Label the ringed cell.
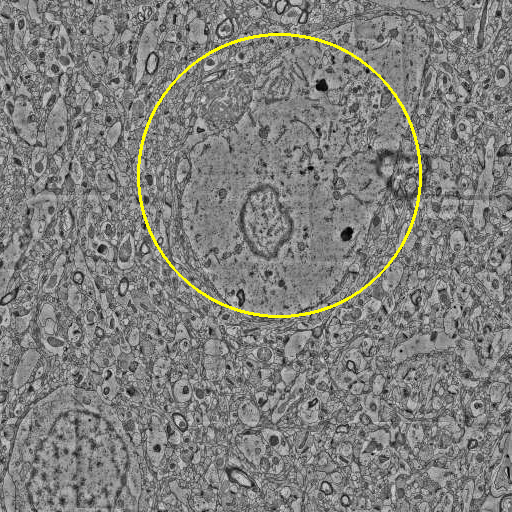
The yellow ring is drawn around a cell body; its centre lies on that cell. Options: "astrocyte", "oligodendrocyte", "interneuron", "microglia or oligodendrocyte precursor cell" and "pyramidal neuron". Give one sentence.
The ringed cell is a pyramidal neuron.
